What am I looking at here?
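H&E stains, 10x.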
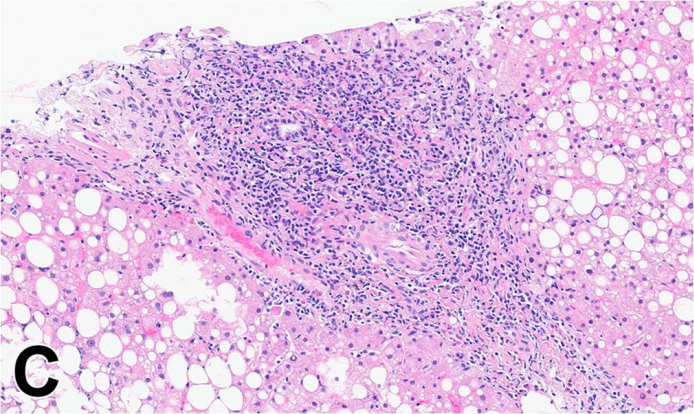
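This is liver tissue with a portal area that is heavily infiltrated by inflammatory cells. Numerous small cells with dark round nuclei form a dense, broad collection in the centre of the field, among strands of pink fibrous tissue and small vessels. The infiltrate spreads outward into the border between the portal area and the neighbouring liver cell plates. The liver cells on either side are large and pink, and many contain clear round vacuoles of varying size.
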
